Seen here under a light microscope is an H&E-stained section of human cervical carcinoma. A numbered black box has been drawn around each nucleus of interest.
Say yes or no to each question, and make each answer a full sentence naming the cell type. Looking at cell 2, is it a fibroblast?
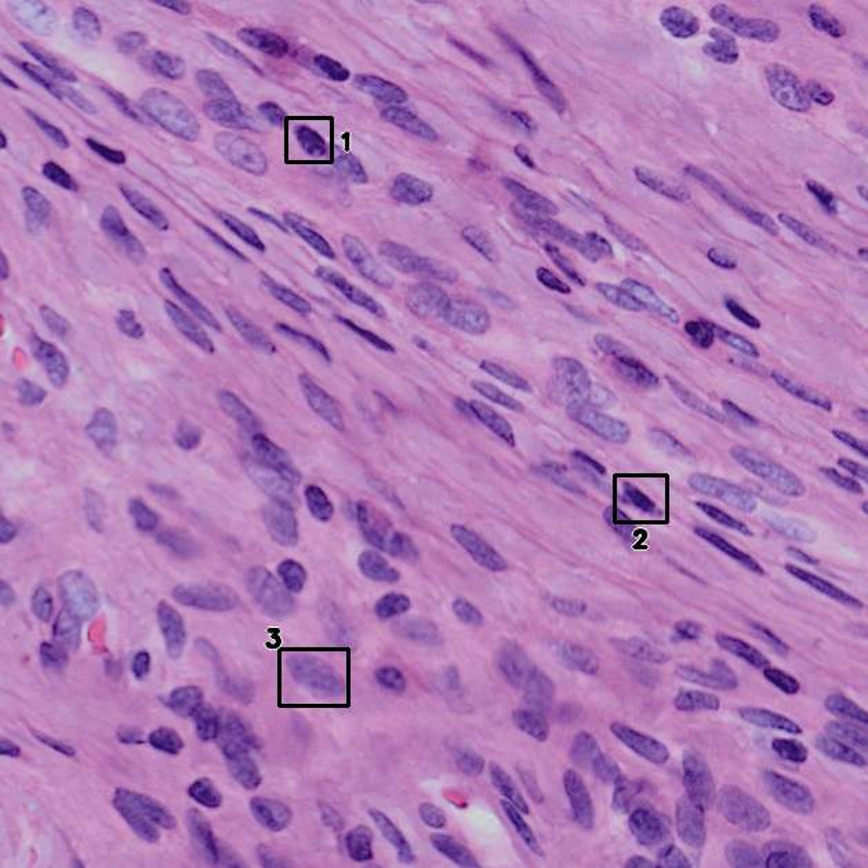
No, number 2 points to a lymphocyte and not to a fibroblast.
